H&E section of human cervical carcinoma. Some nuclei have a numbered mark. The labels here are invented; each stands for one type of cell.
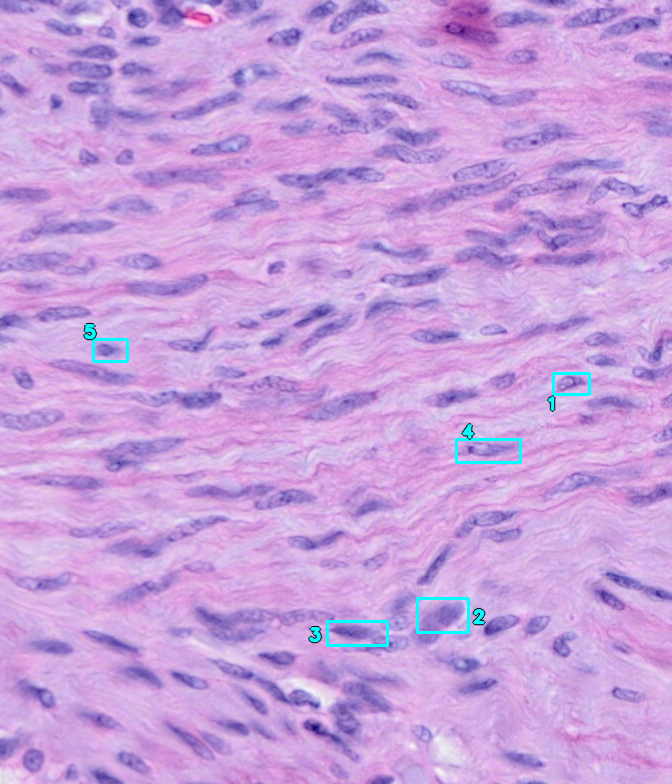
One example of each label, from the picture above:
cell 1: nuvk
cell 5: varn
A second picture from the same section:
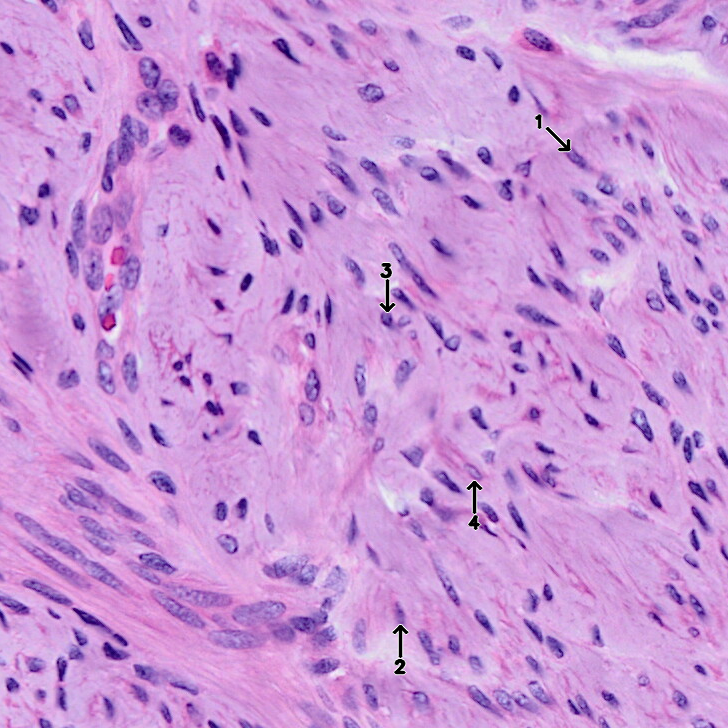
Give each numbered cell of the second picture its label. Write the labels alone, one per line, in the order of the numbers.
nuvk
nuvk
varn
nuvk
